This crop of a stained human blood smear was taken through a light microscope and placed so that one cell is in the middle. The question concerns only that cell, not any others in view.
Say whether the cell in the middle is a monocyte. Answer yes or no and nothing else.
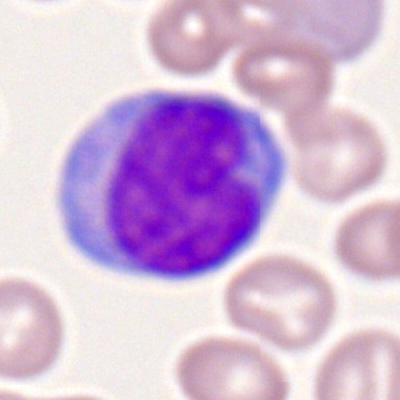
yes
